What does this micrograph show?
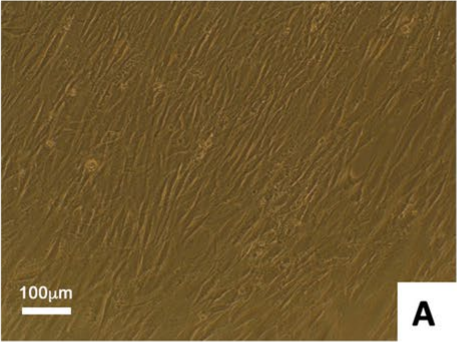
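The cells are elongated and spindle-shaped, with tapering ends. They lie closely packed and largely parallel to one another, forming streams that run diagonally across the field. Only a few rounded cells are scattered on top of the sheet. No granular or refractile deposits are seen between the cells.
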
